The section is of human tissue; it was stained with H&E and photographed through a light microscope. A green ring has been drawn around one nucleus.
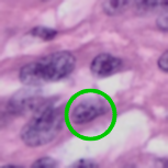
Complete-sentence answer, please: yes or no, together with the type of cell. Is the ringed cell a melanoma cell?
Yes, what the ringed cell represents in this tissue is a melanoma cell.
